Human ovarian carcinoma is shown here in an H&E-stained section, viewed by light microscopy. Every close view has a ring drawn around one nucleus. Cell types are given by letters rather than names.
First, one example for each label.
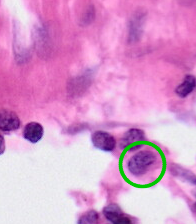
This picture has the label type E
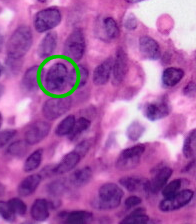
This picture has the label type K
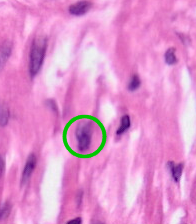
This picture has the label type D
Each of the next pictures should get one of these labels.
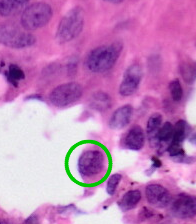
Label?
type K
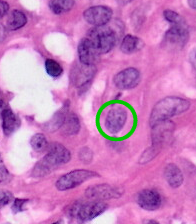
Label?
type E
